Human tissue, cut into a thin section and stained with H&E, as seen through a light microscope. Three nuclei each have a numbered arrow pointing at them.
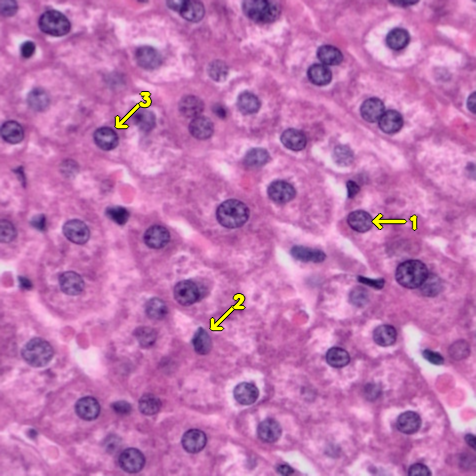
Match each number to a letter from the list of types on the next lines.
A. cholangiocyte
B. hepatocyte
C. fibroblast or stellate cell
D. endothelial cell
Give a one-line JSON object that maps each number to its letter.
{"1": "B", "2": "D", "3": "B"}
